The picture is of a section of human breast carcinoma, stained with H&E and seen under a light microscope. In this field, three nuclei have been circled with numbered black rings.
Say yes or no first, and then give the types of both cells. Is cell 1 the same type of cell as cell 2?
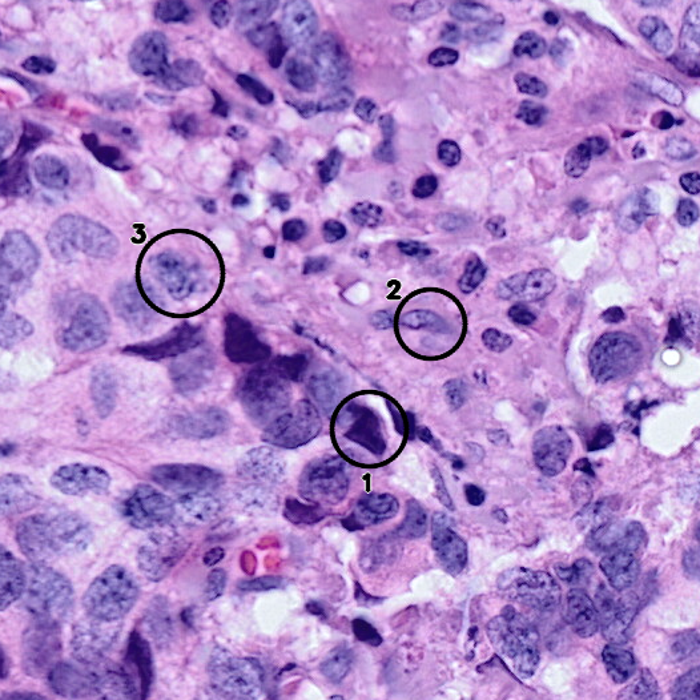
No, rather, cell 1 is a carcinoma cell and cell 2 is an endothelial cell.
